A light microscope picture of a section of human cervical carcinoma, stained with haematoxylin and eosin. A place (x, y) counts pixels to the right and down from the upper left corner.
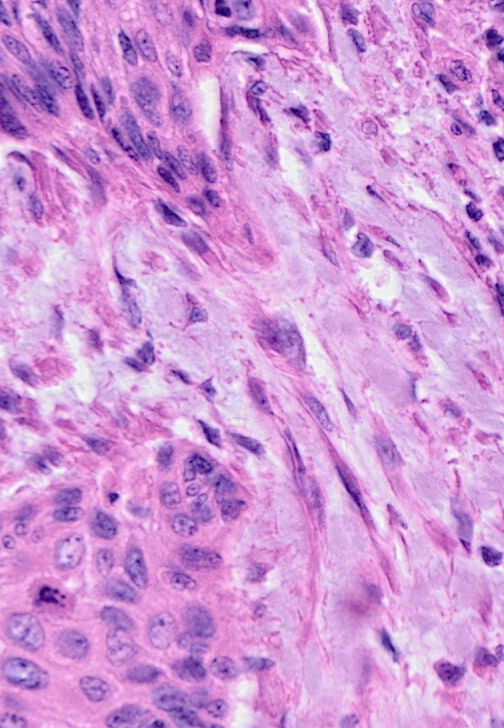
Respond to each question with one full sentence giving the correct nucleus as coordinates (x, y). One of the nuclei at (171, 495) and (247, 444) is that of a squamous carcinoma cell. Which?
The pair contains one nucleus of a squamous carcinoma cell, namely the one at (171, 495).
